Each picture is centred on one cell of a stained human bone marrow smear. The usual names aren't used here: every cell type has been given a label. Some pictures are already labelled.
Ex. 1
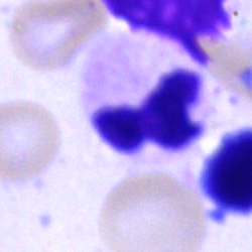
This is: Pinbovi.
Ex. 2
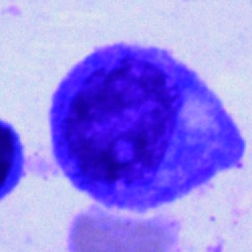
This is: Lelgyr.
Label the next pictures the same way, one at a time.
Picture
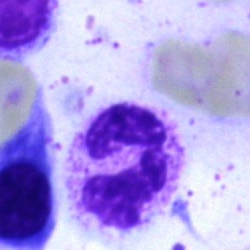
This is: Pinbovi.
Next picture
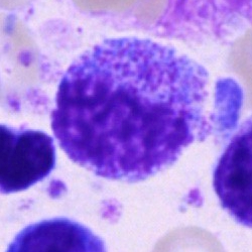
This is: Lelgyr.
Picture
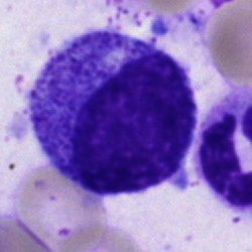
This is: Lelgyr.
